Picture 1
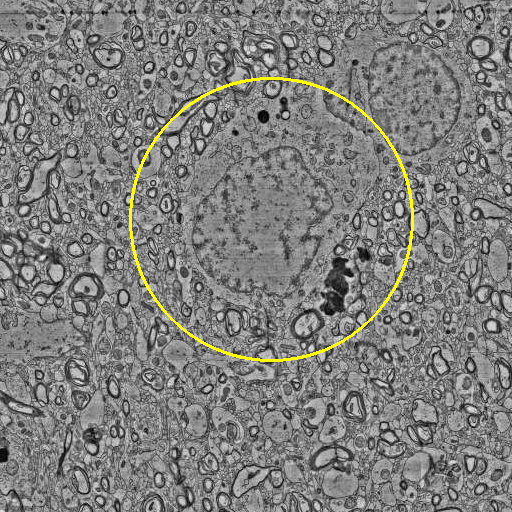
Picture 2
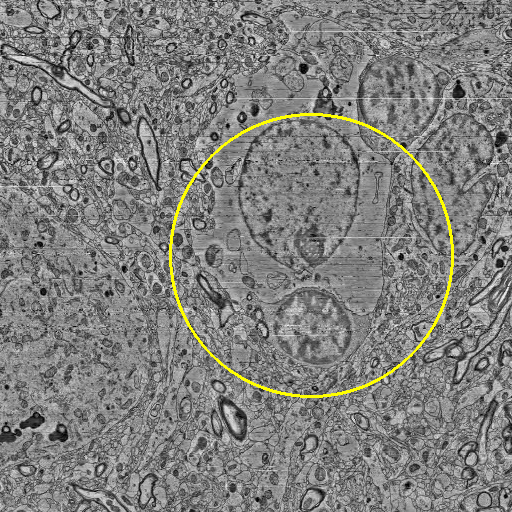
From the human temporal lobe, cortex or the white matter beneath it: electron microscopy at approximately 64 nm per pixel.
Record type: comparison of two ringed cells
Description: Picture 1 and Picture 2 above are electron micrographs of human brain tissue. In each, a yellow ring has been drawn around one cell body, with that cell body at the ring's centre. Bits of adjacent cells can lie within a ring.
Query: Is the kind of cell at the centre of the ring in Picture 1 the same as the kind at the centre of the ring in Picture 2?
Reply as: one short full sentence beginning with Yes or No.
No, the two ringed cells are of two separate kinds.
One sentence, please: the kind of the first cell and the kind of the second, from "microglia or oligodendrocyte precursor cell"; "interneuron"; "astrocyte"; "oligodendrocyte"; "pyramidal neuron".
The ring in the first picture surrounds an interneuron, and the ring in the second surrounds an astrocyte.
